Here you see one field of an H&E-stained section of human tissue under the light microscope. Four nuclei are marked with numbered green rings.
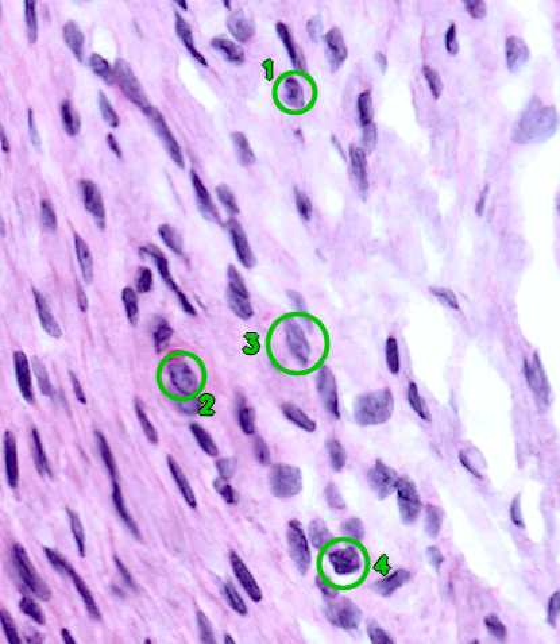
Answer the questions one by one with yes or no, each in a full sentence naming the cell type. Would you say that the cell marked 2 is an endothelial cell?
Yes, the cell that number 2 points to is an endothelial cell.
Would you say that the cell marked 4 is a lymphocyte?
Yes, the cell with number 4 is a lymphocyte.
